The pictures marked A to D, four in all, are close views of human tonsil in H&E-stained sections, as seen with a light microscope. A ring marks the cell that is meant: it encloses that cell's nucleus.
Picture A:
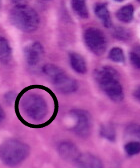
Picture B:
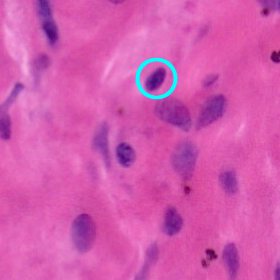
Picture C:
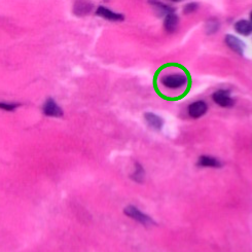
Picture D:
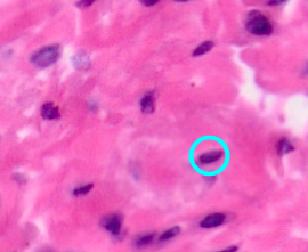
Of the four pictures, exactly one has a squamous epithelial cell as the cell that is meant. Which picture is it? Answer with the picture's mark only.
A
